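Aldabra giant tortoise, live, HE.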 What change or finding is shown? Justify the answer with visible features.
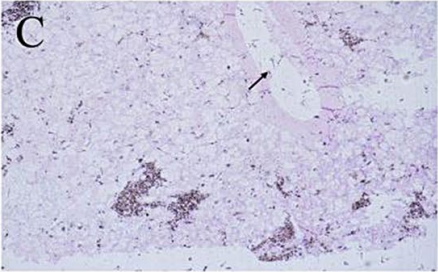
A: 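Nearly every cell's cytoplasm is filled with clear, empty-looking vacuoles. The tissue looks like a pale mesh of round clear spaces.
Answer: Fatty degeneration and vacuolar degeneration of hepatocytes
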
